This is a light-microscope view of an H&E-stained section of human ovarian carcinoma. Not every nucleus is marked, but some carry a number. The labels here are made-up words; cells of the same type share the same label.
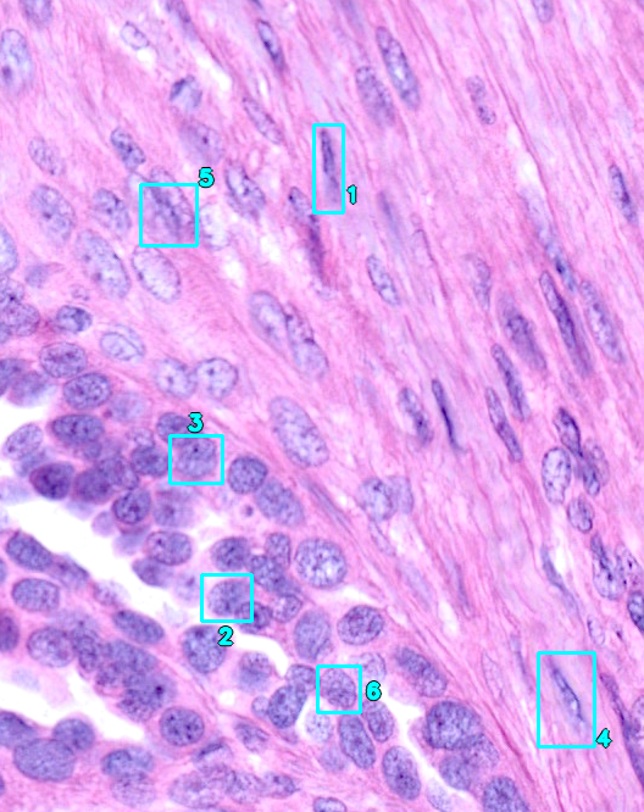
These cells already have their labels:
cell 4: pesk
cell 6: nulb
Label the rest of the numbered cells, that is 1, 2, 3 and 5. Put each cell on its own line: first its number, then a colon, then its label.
1: pesk
2: nulb
3: nulb
5: pesk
